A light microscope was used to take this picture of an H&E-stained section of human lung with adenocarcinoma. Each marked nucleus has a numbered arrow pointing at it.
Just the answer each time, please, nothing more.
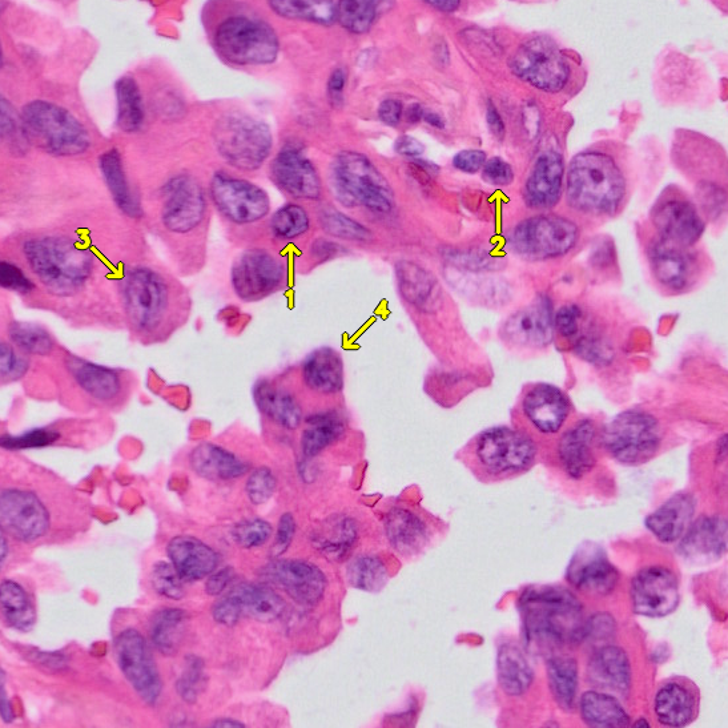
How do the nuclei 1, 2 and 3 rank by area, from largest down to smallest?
3, 1, 2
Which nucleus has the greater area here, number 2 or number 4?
4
